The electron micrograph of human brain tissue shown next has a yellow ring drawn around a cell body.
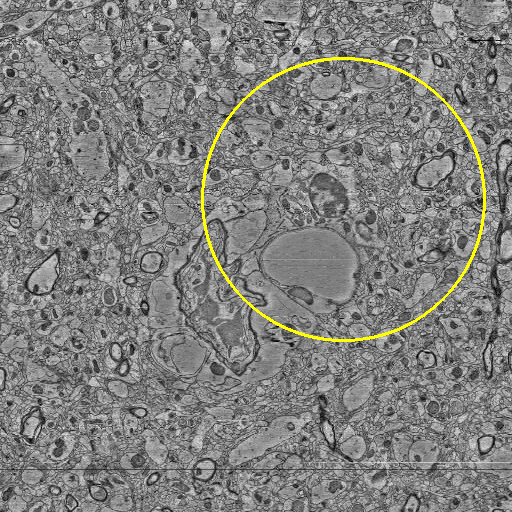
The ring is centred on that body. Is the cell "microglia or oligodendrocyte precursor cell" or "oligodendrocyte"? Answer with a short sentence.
The cell in question is a microglial cell or oligodendrocyte precursor cell.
